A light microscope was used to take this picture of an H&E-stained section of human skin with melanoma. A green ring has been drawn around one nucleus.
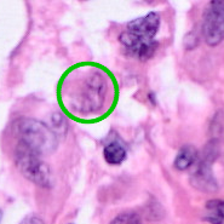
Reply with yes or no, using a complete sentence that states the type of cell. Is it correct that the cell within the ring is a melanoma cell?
Yes, the description of the cell within the ring as a melanoma cell is accurate.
